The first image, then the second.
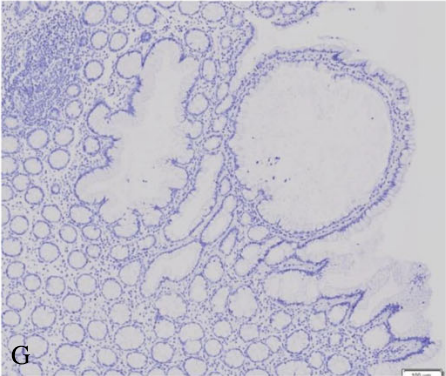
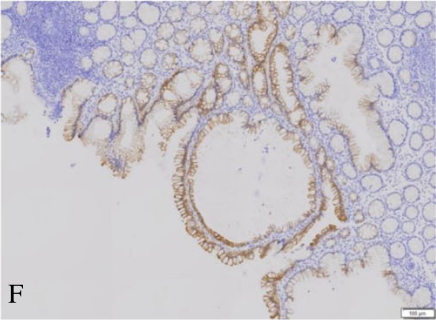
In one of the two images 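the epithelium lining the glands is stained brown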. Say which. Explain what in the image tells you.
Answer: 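First image: the gland epithelium is only blue, with no brown. Second image: the surface epithelium and the lining of a dilated gland are stained brown. So: the second image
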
